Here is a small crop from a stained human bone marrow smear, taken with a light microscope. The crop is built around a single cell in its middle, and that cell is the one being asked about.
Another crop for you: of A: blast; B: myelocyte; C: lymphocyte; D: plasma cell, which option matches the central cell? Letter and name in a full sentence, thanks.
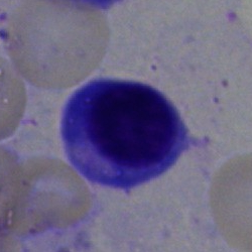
The cell positioned centrally is a plasma cell, as given in option D, which is correct.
